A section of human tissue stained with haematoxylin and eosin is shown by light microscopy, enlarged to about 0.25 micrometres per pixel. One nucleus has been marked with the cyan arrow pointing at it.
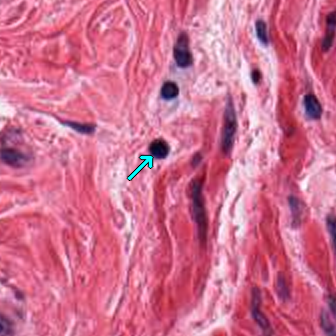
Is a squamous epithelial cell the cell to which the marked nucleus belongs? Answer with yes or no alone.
no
